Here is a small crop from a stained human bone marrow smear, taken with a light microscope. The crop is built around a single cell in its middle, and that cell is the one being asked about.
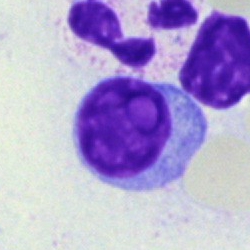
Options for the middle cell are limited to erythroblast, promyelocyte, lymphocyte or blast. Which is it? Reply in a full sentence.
In the centre of this crop there is a lymphocyte.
